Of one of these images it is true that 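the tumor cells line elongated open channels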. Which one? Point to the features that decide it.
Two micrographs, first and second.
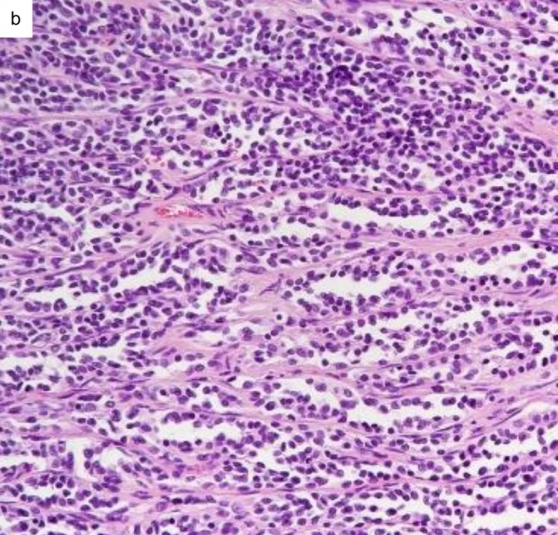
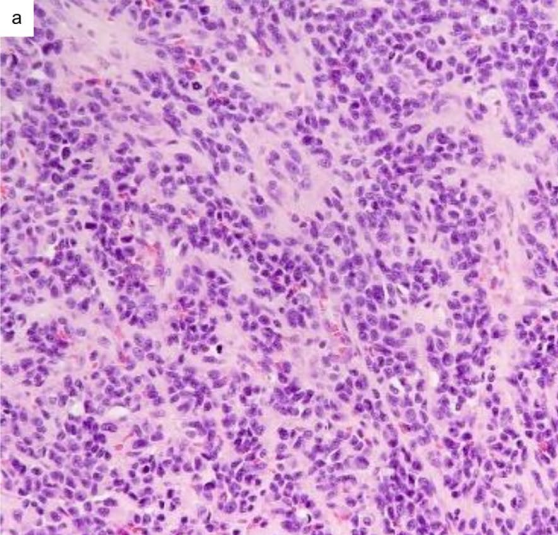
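The first image. First image: many long slit-like empty spaces lined by cells. Second image: solid sheets of cells with few open spaces.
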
